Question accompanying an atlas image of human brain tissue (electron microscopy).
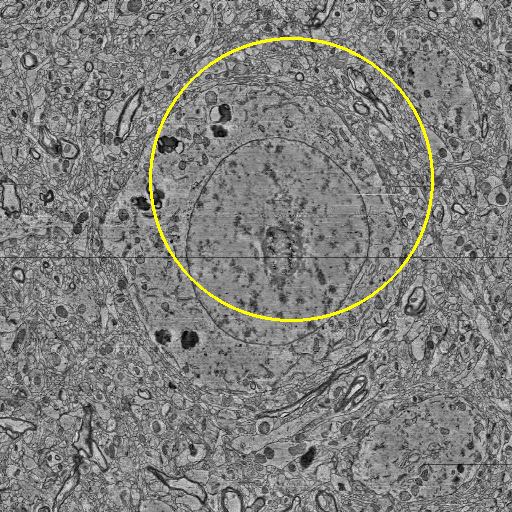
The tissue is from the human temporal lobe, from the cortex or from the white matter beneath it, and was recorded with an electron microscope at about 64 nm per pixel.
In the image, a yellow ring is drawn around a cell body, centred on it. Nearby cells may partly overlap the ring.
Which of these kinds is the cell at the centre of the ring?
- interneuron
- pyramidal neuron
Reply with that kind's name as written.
pyramidal neuron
